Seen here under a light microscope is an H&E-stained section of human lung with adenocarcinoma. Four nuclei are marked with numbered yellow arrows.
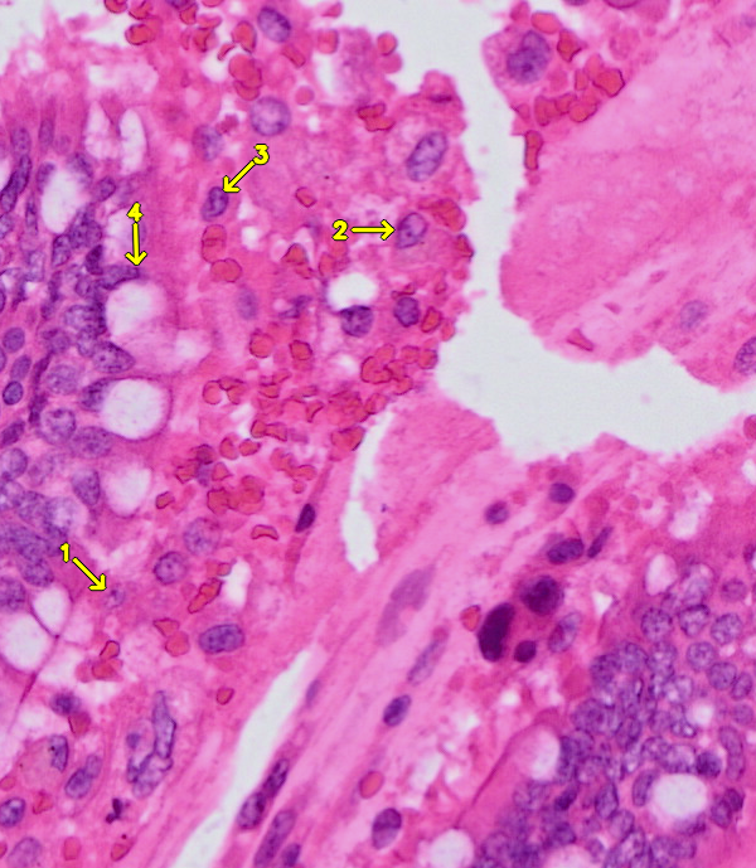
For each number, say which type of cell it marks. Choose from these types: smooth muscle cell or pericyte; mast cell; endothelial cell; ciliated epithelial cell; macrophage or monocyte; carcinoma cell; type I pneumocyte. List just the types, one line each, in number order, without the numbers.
macrophage or monocyte
macrophage or monocyte
macrophage or monocyte
ciliated epithelial cell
